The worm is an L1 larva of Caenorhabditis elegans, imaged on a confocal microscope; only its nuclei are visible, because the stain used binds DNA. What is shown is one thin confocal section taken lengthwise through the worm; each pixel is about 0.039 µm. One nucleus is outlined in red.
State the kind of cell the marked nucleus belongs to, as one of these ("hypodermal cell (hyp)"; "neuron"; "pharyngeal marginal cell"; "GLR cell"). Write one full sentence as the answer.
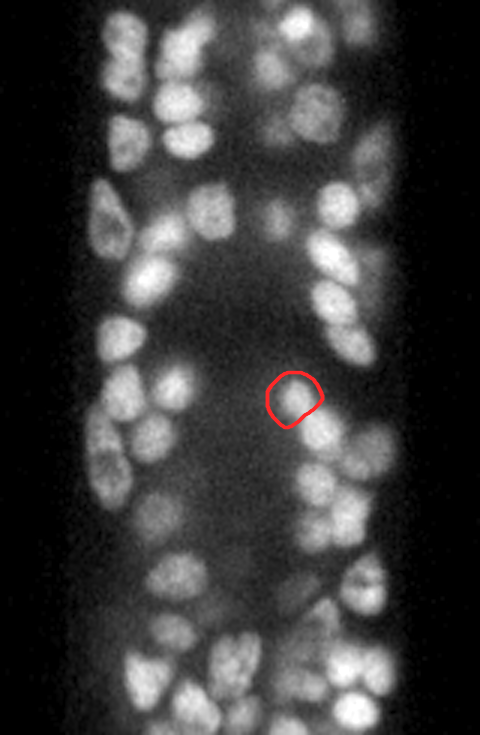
This nucleus is from a GLR cell.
